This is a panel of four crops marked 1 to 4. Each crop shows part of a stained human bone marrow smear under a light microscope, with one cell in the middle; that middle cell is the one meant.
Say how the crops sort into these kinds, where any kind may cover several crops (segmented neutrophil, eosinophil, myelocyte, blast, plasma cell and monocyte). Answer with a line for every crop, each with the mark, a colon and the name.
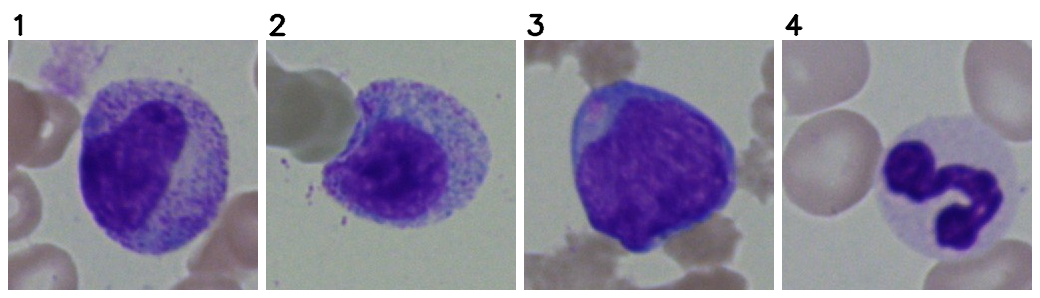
1: myelocyte
2: myelocyte
3: blast
4: segmented neutrophil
